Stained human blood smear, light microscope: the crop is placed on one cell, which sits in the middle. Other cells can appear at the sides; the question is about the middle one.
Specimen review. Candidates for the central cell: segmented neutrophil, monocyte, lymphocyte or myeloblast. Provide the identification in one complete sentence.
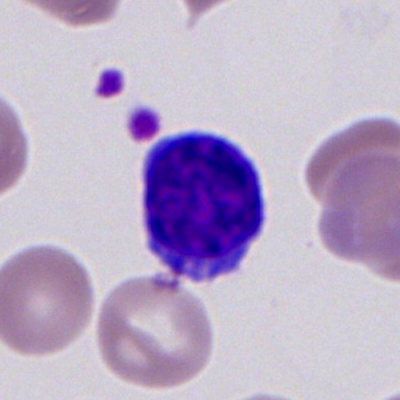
The crop centres on a single cell, and that cell is a lymphocyte.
